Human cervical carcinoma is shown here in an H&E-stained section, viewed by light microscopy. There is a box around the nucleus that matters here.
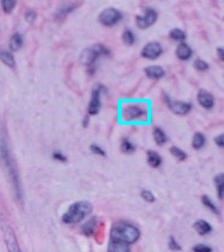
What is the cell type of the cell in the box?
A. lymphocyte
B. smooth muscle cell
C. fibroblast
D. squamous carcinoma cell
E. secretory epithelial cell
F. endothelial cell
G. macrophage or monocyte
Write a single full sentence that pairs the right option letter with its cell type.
The correct option here, B, identifies the cell in the box as a smooth muscle cell.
